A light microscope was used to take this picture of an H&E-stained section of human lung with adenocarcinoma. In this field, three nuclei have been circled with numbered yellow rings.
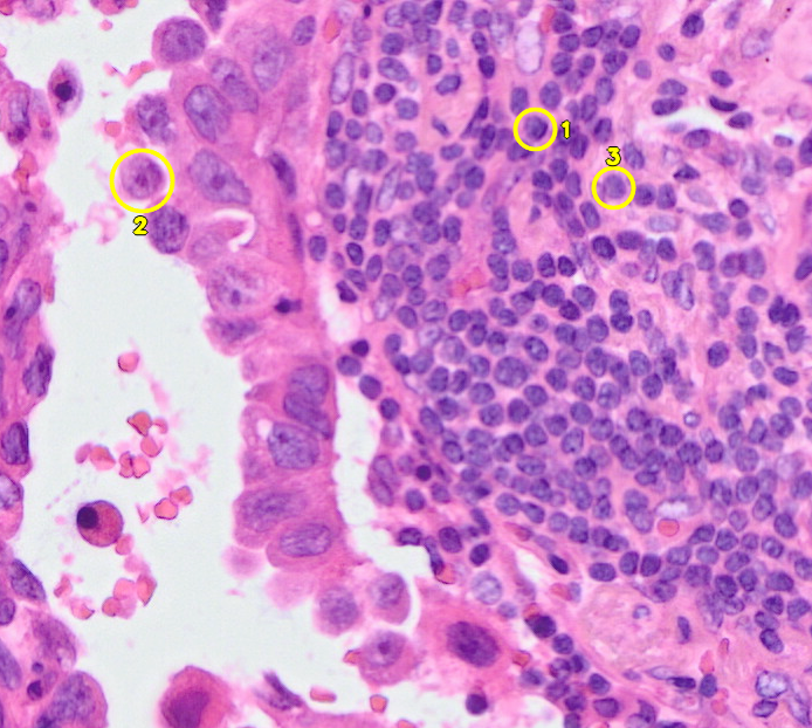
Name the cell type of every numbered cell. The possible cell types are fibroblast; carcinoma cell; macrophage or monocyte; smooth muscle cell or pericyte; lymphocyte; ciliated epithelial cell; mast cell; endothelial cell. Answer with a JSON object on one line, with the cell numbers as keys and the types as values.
{"1": "lymphocyte", "2": "carcinoma cell", "3": "lymphocyte"}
